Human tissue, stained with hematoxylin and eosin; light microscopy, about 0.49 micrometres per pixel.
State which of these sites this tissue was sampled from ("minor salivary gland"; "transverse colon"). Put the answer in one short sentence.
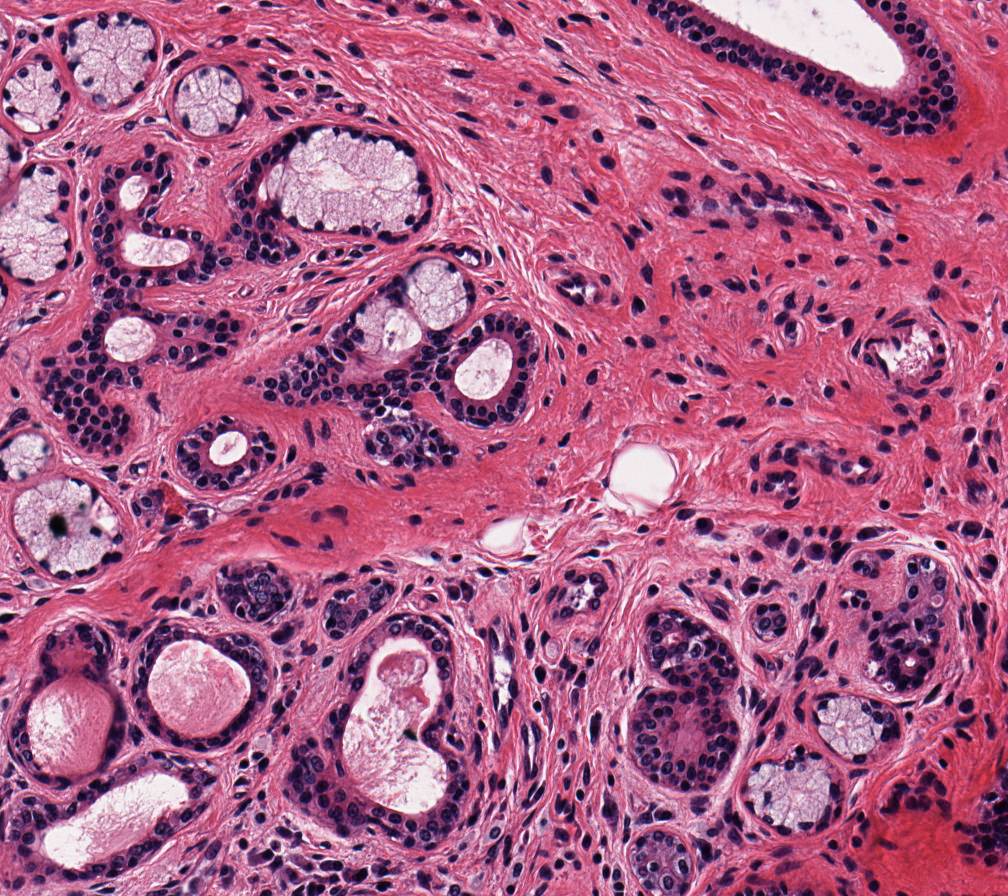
The site this tissue was sampled from is the minor salivary gland.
